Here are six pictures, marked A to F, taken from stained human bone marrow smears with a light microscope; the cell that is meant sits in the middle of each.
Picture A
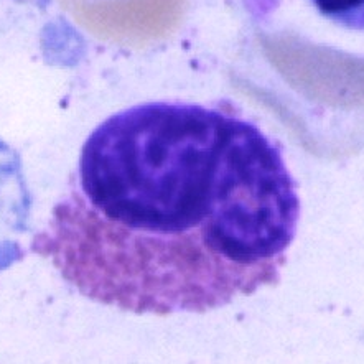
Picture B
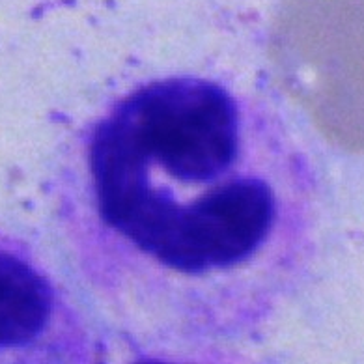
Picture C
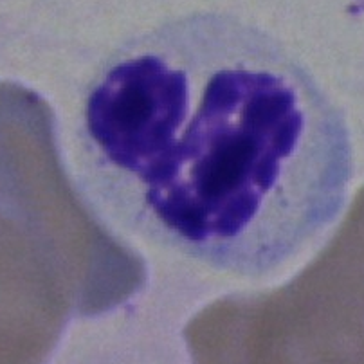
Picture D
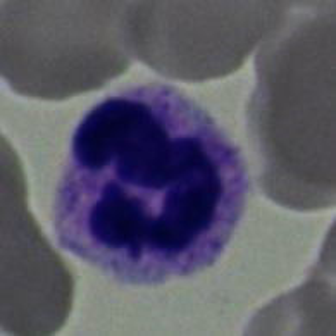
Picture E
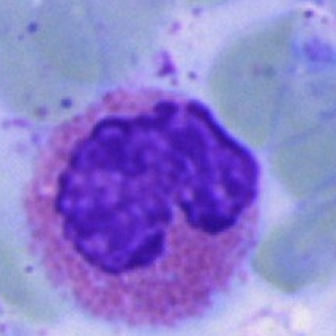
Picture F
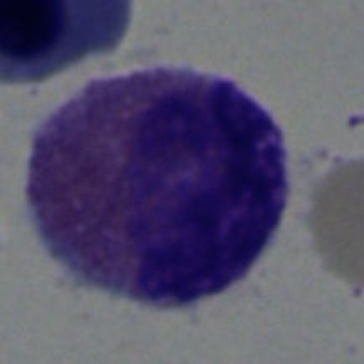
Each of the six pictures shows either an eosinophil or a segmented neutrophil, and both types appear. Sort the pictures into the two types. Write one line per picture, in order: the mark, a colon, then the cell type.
A: eosinophil
B: segmented neutrophil
C: segmented neutrophil
D: segmented neutrophil
E: eosinophil
F: eosinophil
